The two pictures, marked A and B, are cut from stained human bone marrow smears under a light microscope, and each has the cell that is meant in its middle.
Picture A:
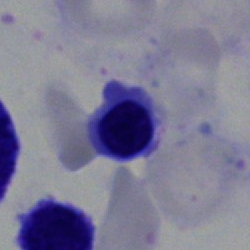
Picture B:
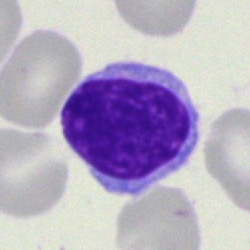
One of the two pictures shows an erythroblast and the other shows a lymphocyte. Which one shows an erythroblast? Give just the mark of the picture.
A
